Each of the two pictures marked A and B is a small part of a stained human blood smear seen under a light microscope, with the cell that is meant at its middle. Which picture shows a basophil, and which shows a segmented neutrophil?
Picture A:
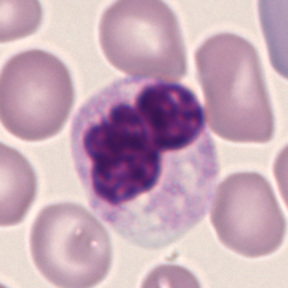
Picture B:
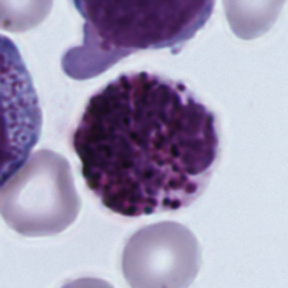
A: segmented neutrophil
B: basophil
